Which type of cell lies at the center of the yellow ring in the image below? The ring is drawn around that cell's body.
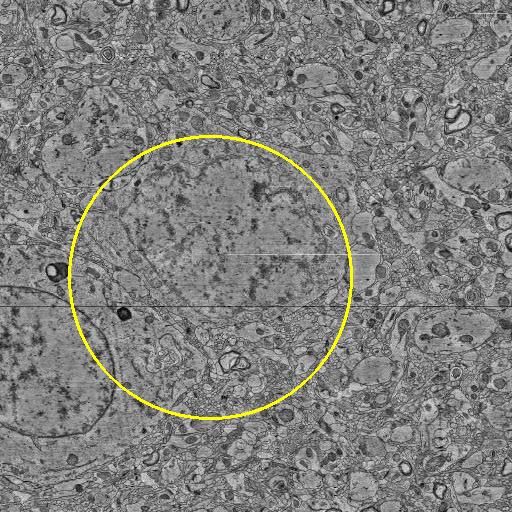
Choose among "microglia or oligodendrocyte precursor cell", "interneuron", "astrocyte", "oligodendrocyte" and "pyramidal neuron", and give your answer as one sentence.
The cell body at the center belongs to an interneuron.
